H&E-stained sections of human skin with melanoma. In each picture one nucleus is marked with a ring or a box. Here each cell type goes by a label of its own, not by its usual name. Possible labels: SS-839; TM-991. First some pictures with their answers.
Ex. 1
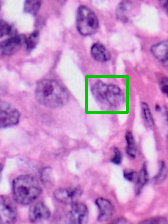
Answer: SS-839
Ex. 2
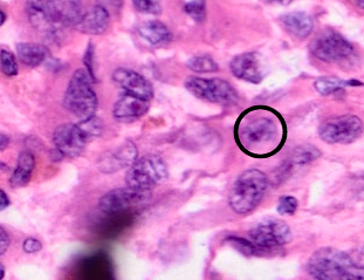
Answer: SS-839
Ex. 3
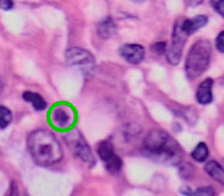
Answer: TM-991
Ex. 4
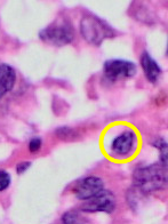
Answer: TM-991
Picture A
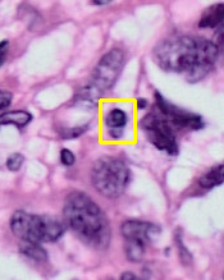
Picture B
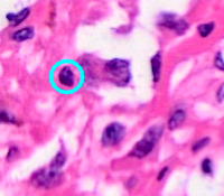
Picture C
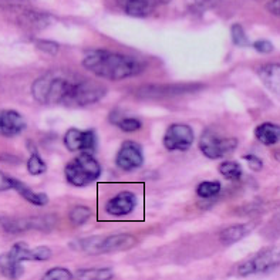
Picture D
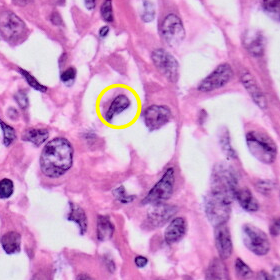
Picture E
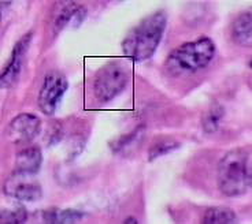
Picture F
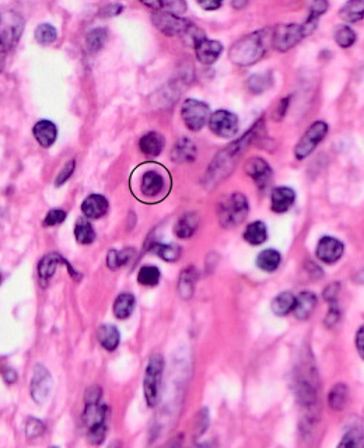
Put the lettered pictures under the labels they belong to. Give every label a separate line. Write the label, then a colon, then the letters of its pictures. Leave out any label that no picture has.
SS-839: D, E
TM-991: A, B, C, F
